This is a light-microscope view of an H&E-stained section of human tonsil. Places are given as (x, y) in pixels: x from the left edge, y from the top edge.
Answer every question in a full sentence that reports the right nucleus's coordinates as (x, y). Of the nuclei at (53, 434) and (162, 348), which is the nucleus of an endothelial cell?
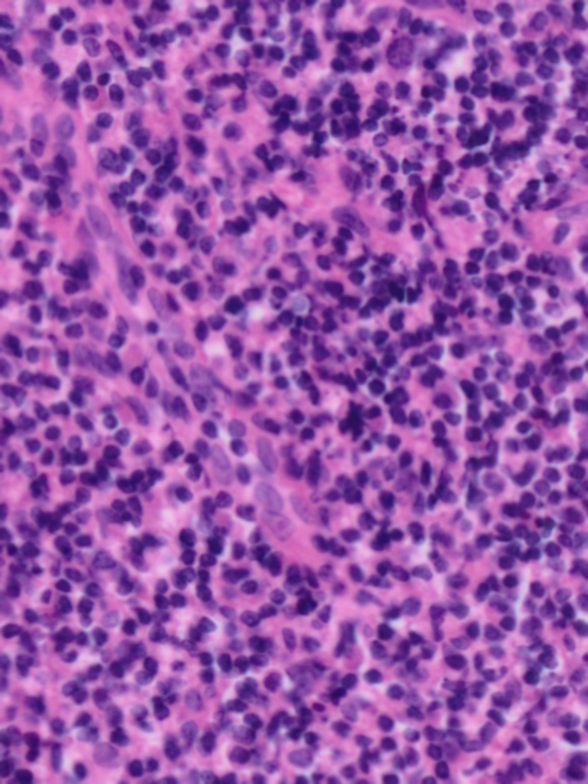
Heads up, the nucleus at (162, 348) is the one that belongs to an endothelial cell.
